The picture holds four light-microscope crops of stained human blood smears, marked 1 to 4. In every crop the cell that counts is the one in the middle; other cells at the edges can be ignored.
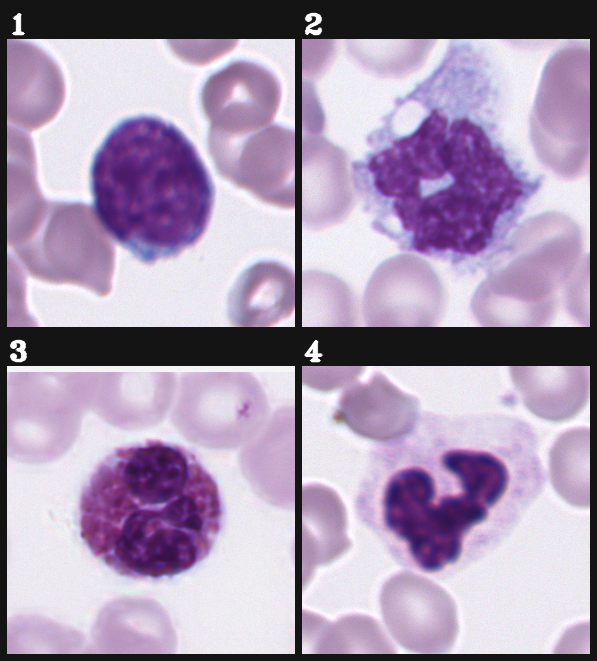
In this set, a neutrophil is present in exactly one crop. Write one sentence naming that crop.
Crop 4 is where a neutrophil is shown.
